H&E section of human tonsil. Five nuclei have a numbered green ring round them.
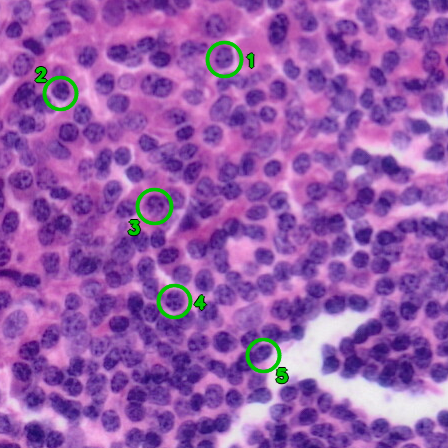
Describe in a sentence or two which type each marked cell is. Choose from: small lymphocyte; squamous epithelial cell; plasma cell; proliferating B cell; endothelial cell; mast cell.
Cells 1, 2 and 3 are plasma cells. Cells 4 and 5 are small lymphocytes.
